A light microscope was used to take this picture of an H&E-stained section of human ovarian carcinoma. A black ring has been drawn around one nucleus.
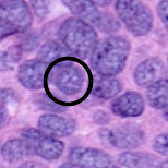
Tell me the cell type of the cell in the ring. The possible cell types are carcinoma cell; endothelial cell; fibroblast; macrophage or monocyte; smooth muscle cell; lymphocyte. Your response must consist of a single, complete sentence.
Just put down that the cell in the ring is a carcinoma cell.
